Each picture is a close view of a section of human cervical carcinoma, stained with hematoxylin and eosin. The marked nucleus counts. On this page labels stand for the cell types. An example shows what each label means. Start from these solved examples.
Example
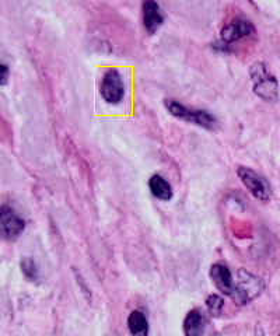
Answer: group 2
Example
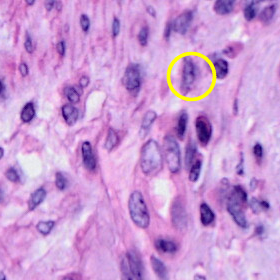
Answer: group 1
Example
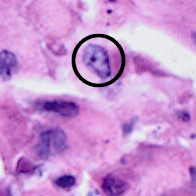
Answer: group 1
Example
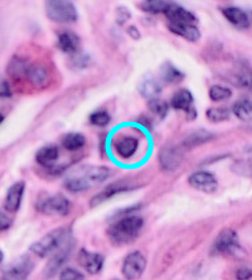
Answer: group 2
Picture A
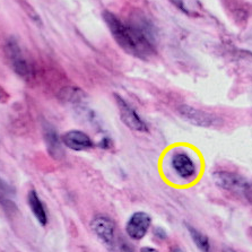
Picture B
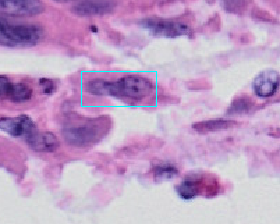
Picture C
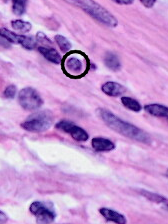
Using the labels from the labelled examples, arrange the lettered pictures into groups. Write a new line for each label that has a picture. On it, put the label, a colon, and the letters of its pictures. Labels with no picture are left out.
group 2: A, C
group 1: B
